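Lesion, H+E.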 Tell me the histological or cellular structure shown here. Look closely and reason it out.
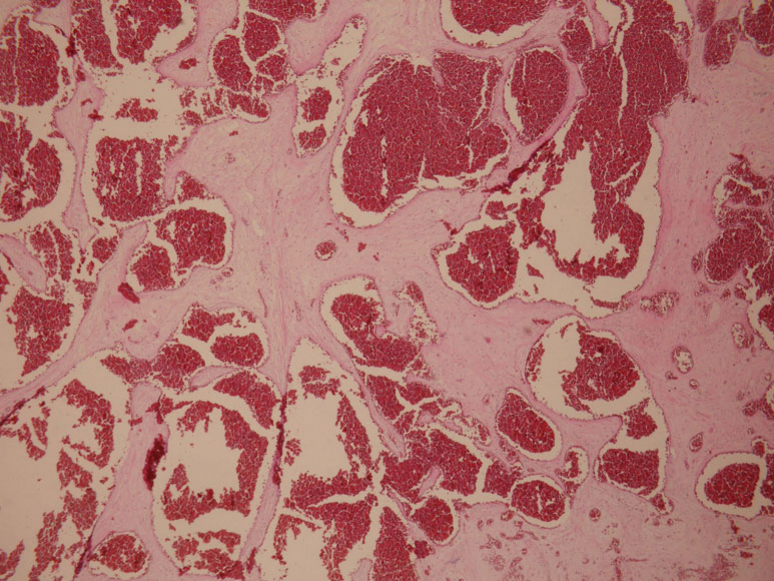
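Many large, irregular, wide spaces fill most of the field. Each space is lined by a thin wall. Pink fibrous tissue separates the spaces.
Conclusion: large vessels with cystically dilated lumina and thin walls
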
